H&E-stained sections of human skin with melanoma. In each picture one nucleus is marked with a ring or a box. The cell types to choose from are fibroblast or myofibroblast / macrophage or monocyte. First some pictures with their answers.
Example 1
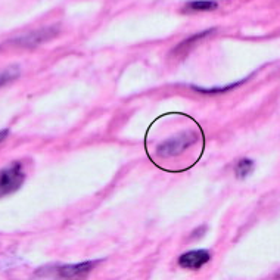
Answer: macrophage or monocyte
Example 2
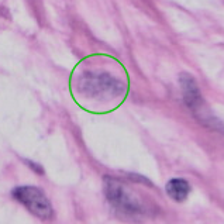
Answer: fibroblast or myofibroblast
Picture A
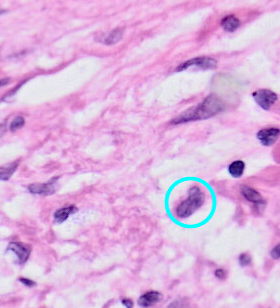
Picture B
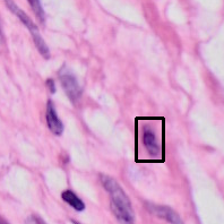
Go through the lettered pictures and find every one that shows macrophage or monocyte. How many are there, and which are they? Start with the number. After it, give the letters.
Count: 2 (A, B)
